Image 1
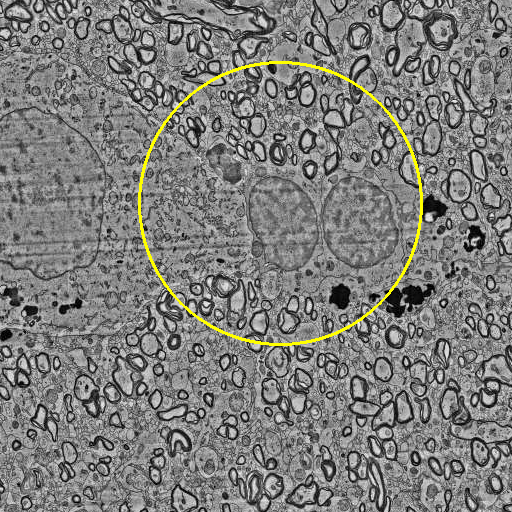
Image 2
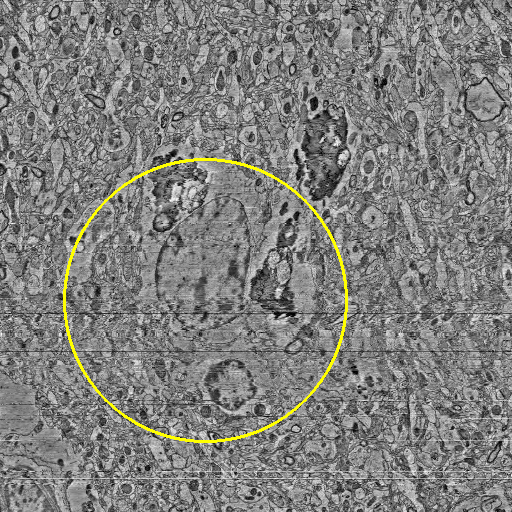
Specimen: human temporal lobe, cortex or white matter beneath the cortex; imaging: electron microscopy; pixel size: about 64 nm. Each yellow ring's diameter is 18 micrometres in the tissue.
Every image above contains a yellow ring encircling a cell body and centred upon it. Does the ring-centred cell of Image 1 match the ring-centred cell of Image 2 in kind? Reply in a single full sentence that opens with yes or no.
No, the cell at the ring's centre in Image 1 is a separate kind from that in Image 2.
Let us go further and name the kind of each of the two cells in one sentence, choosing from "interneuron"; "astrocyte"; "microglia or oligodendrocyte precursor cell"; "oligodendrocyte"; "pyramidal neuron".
The ring of the first picture is on an oligodendrocyte, the ring of the second on an astrocyte.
